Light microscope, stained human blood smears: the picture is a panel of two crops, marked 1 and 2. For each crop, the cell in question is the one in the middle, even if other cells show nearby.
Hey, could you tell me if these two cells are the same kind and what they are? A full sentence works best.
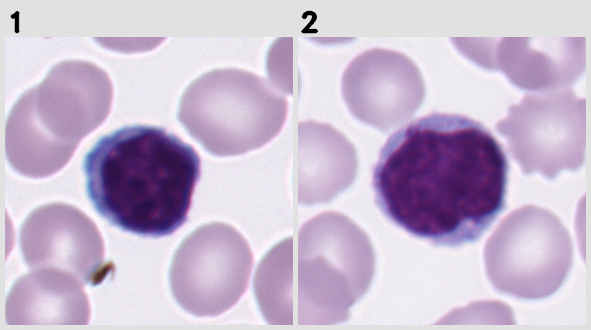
Yes, put down typical lymphocytes for both crops.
